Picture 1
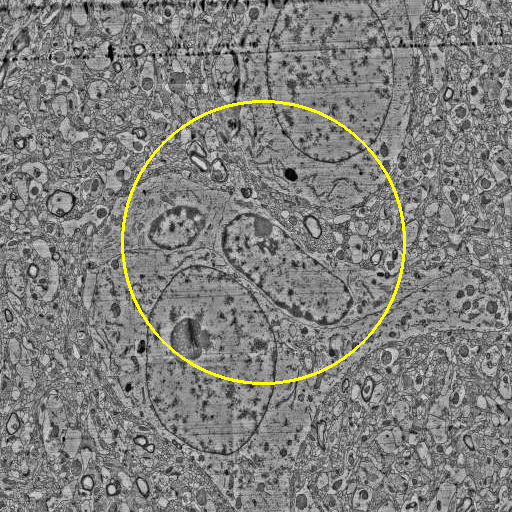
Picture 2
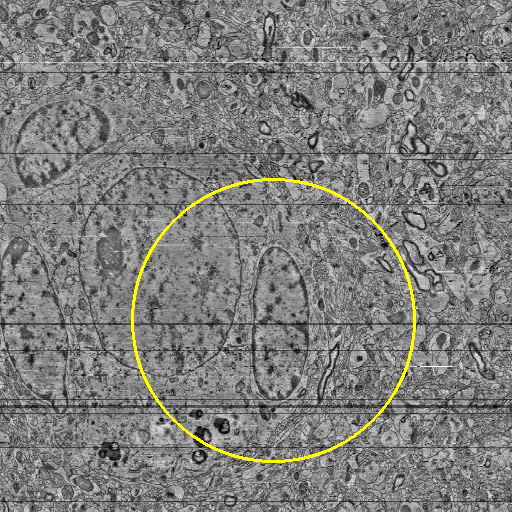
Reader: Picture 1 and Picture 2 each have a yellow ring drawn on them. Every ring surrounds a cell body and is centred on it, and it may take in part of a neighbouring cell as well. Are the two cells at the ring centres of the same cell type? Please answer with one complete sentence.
Yes, both cells are of the same cell type.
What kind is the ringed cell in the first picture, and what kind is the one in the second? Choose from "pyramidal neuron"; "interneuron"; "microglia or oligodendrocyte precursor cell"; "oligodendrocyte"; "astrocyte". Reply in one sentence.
Each of the two rings surrounds a microglial cell or oligodendrocyte precursor cell.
